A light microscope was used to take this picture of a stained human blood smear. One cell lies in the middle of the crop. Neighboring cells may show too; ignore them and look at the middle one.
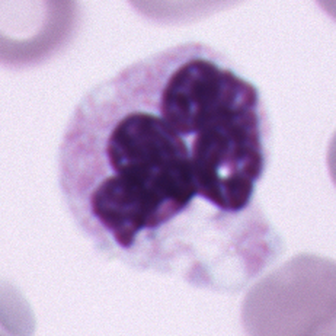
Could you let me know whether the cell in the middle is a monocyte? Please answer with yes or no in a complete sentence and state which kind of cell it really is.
No, the central cell is counted as a segmented neutrophil instead of a monocyte.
